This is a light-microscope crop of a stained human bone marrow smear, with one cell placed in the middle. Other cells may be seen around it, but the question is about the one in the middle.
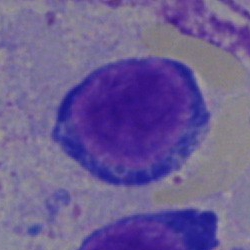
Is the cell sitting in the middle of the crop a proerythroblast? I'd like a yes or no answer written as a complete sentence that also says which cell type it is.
Yes, in the centre of this field sits a proerythroblast.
